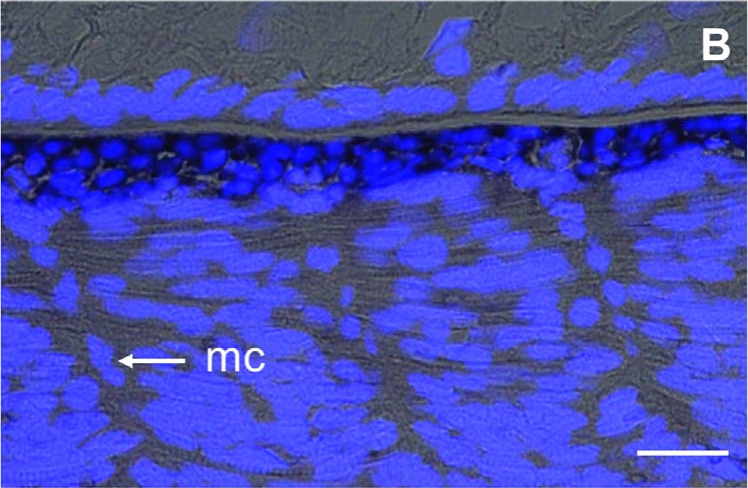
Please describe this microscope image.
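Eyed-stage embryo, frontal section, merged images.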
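The skeletogenic layer appears as a dark band with small, closely packed round to oval blue nuclei. Above the boundary, the notochord region has a row of larger, irregular blue nuclei along its edge. Below the band, many elongated blue nuclei lie within striated tissue. Dark gaps between these nuclei form lines that run across the tissue.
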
